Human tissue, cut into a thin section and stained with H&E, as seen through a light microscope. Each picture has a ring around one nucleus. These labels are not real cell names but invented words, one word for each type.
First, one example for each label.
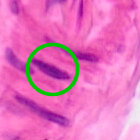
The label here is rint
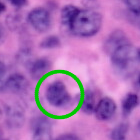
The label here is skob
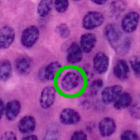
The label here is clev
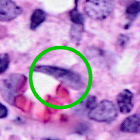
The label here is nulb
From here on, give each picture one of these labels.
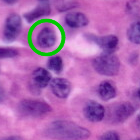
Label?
clev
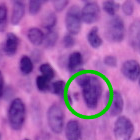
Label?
skob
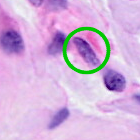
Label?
nulb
